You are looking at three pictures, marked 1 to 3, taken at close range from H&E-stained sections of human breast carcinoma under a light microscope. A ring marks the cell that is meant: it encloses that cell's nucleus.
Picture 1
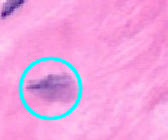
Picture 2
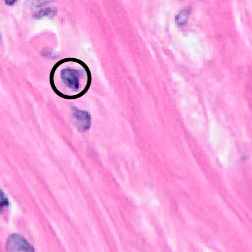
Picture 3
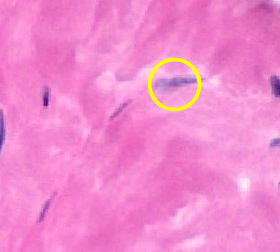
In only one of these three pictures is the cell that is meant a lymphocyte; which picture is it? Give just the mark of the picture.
2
